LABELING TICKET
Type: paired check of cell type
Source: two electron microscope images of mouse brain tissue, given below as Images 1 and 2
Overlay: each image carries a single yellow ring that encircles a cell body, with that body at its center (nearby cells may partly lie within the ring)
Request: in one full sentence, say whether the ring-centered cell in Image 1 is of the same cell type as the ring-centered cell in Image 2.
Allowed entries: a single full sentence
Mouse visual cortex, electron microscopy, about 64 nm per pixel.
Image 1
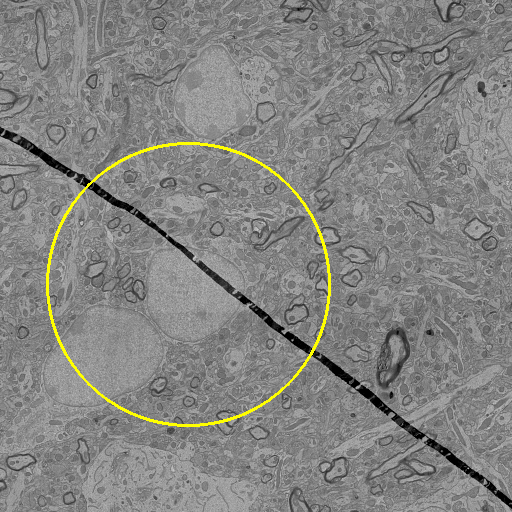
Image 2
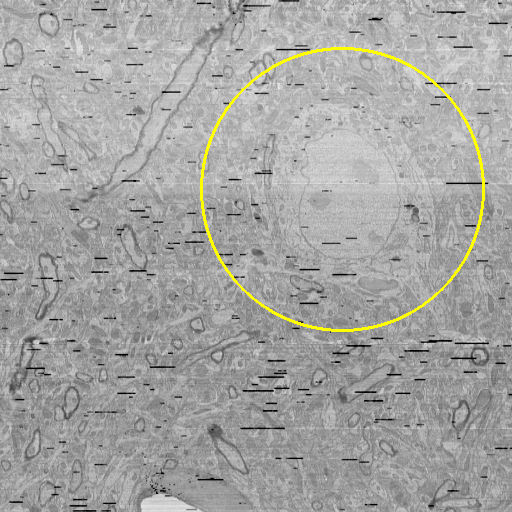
No, the cells centered in the rings of Image 1 and Image 2 are of two types.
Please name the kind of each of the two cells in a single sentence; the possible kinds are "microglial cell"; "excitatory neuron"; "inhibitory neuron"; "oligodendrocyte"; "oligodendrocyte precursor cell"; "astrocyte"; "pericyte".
In the first picture the ring is centred on an astrocyte, and in the second on an excitatory neuron.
